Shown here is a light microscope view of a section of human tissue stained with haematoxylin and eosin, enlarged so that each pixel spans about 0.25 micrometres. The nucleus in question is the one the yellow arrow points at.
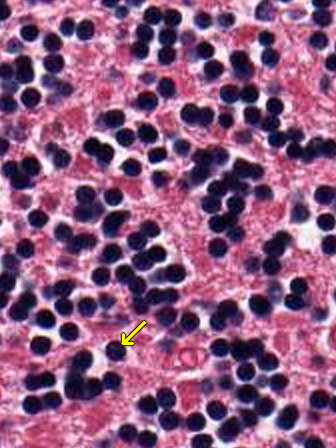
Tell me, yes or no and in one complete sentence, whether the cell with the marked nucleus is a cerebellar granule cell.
Yes, it is within a cerebellar granule cell that the marked nucleus lies.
